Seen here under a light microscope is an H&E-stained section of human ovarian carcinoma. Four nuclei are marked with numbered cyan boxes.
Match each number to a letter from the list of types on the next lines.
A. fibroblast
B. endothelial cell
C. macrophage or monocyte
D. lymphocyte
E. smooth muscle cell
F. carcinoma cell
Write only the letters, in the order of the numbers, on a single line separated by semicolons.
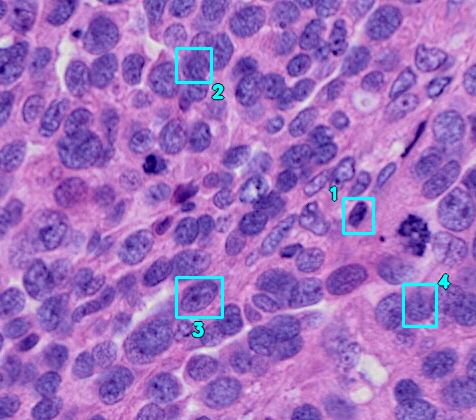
D; F; F; F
